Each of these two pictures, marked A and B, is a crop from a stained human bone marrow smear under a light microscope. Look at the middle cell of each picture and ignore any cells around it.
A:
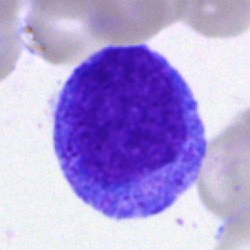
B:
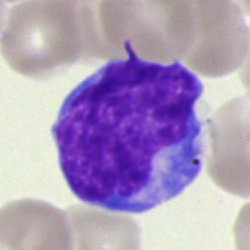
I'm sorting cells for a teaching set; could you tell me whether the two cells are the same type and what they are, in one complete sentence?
Yes, both crops show blasts, and that holds for each one.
